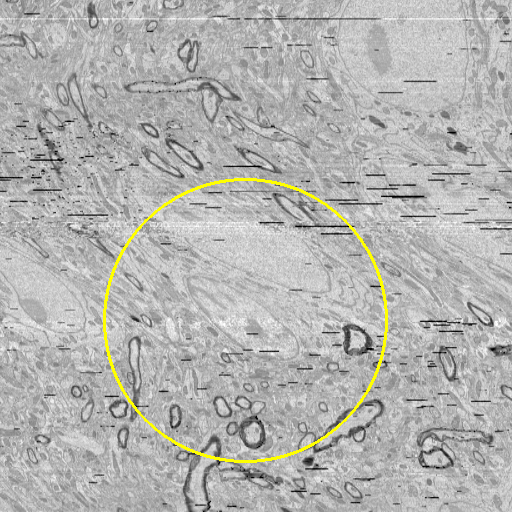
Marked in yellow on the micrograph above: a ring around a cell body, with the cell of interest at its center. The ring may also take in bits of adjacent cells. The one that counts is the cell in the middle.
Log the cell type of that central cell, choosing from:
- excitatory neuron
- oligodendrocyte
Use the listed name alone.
oligodendrocyte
